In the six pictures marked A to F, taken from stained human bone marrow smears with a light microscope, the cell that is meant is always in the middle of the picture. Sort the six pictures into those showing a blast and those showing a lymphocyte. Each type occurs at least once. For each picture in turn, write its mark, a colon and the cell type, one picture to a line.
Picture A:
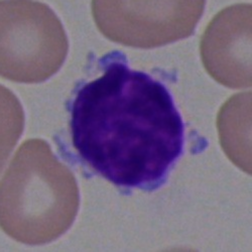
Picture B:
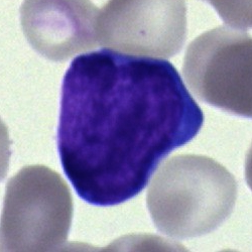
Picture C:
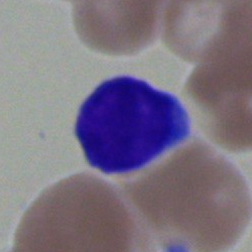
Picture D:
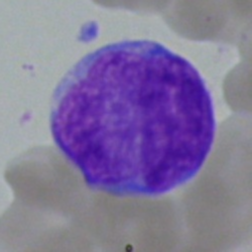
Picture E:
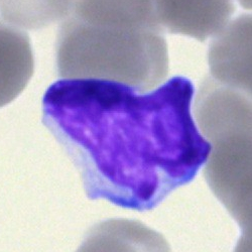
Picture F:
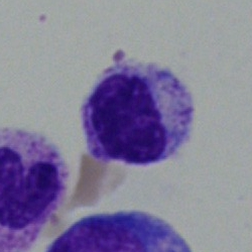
A: lymphocyte
B: blast
C: lymphocyte
D: blast
E: blast
F: lymphocyte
